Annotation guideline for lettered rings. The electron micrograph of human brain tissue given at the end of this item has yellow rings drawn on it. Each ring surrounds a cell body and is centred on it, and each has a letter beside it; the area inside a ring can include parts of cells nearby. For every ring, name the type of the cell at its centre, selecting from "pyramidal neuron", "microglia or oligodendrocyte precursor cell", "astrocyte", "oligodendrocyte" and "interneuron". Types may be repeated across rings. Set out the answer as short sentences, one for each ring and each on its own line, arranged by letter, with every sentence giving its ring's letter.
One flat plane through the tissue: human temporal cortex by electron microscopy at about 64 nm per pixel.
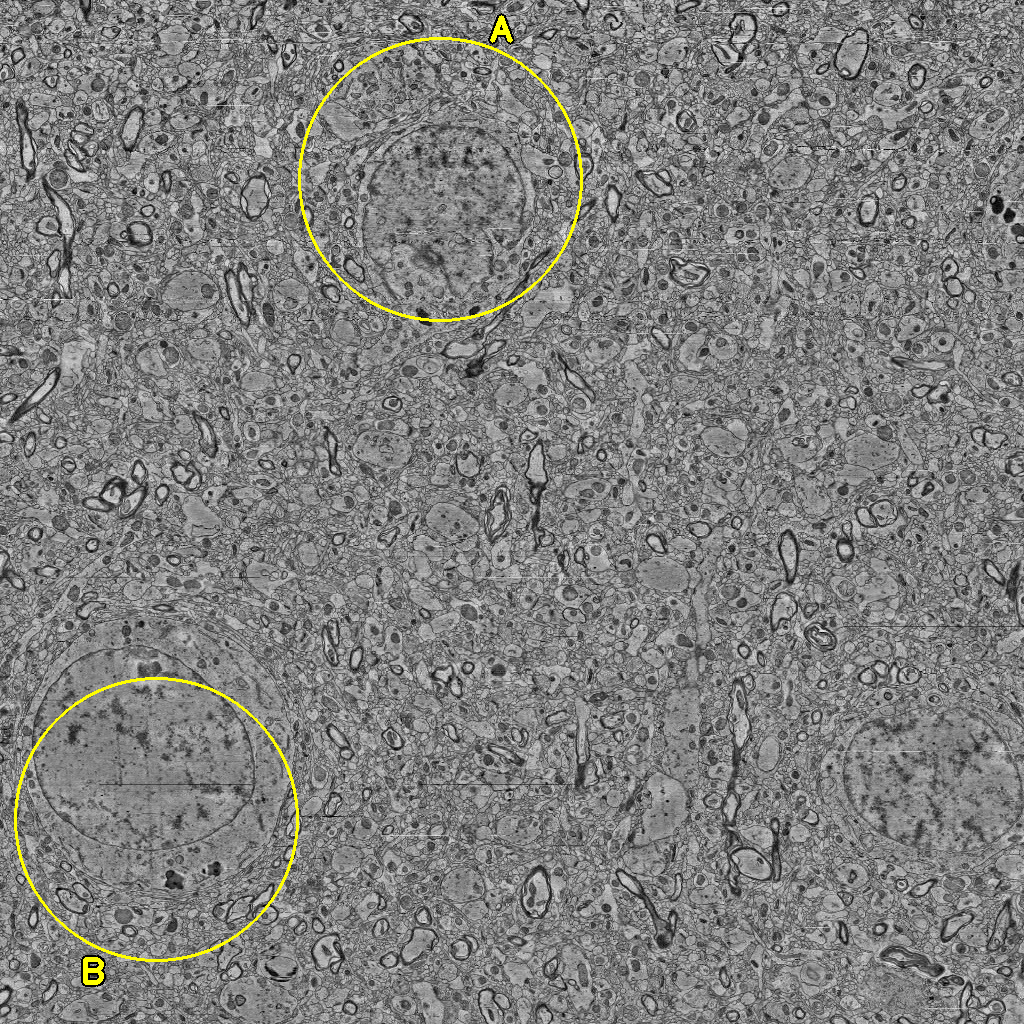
The cell centred in ring A is an interneuron.
The cell centred in ring B is a pyramidal neuron.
